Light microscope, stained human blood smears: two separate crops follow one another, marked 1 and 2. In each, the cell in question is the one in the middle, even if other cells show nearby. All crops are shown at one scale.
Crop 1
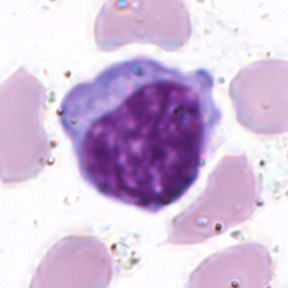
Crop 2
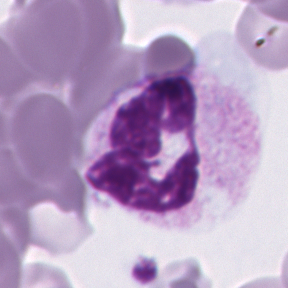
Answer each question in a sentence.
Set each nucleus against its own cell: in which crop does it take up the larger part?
In crop 1 the nucleus takes up the larger part of its cell.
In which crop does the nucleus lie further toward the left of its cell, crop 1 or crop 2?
The nucleus in crop 2 lies further toward the left of its cell.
